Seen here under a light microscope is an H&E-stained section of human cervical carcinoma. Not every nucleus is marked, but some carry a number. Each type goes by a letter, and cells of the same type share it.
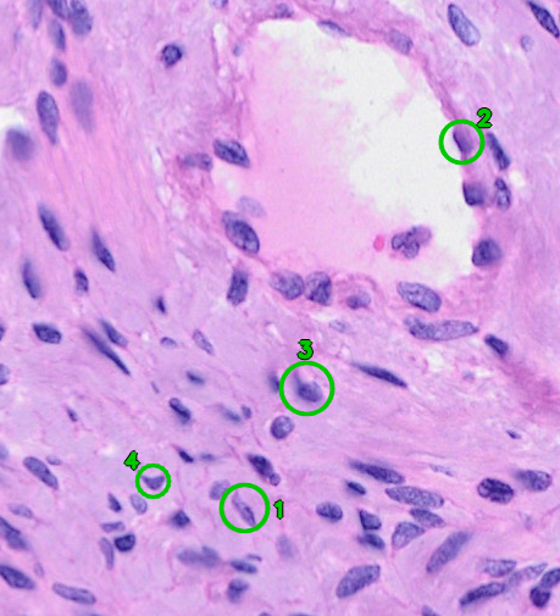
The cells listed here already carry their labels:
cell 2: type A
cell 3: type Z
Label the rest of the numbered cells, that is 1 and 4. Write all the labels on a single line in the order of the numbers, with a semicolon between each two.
type Z; type Z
